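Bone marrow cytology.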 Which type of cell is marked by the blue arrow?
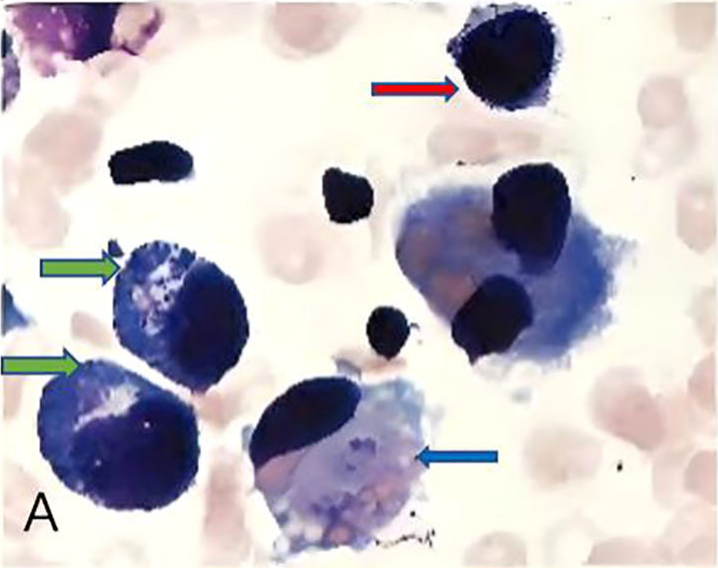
hemophagocytes actively engulfing erythrocytes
